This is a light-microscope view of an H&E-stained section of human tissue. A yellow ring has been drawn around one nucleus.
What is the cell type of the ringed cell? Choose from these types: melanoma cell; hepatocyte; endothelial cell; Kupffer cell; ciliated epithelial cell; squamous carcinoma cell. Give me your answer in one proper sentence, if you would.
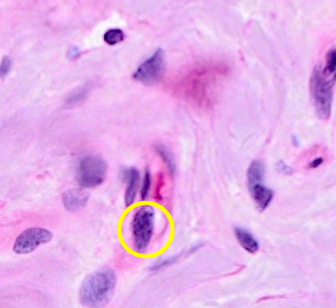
Assigned to a cell type, the ringed cell is an endothelial cell.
